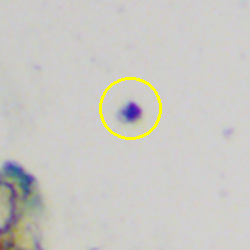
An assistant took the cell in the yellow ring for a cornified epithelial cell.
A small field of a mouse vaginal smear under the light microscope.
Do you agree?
I disagree, it is a leukocyte.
